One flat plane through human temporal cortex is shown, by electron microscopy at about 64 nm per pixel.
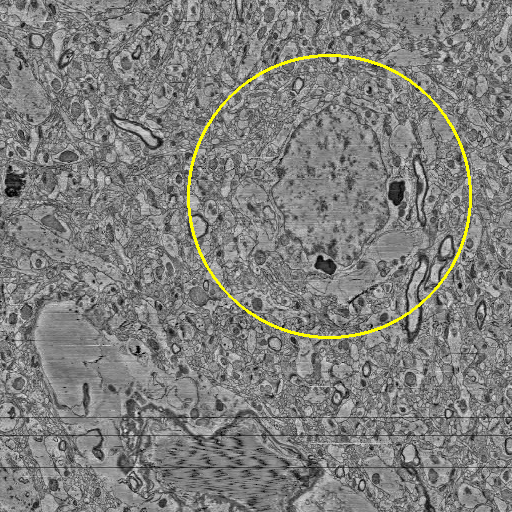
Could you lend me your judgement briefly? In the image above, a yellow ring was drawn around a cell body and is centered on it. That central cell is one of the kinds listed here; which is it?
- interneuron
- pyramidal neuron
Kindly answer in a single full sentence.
Going by the list, an interneuron is the kind at the ring's center in the picture.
